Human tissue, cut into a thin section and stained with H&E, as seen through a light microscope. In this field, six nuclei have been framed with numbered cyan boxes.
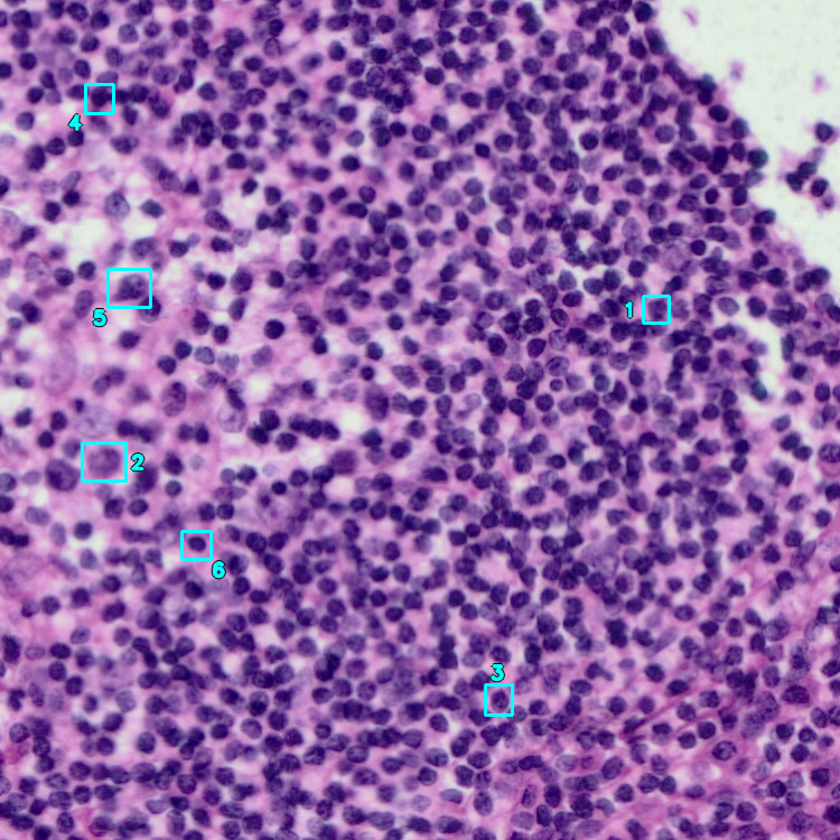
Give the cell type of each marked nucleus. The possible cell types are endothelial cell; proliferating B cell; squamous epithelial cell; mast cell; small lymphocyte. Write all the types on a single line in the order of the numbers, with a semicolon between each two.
small lymphocyte; proliferating B cell; small lymphocyte; small lymphocyte; proliferating B cell; small lymphocyte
